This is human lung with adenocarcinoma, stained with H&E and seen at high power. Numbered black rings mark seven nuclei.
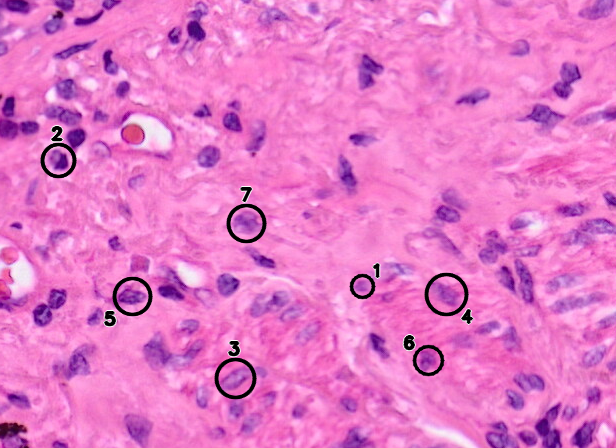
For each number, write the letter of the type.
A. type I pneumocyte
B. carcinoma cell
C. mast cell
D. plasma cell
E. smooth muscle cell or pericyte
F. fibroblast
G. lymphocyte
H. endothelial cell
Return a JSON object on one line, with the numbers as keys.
{"1": "E", "2": "G", "3": "E", "4": "E", "5": "D", "6": "E", "7": "F"}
